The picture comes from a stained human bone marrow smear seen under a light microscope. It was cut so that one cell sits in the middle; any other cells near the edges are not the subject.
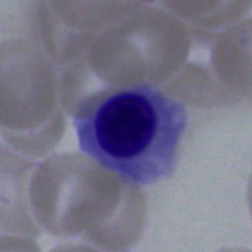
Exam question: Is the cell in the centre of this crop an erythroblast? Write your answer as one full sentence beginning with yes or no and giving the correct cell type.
Yes, the cell in the center of the field is an erythroblast.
